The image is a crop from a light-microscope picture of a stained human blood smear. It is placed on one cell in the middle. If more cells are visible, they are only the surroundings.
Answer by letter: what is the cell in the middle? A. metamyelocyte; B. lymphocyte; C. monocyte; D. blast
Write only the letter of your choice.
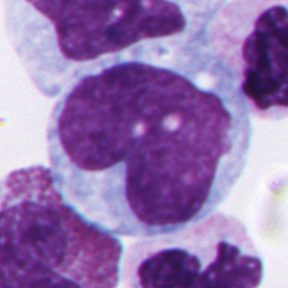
C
